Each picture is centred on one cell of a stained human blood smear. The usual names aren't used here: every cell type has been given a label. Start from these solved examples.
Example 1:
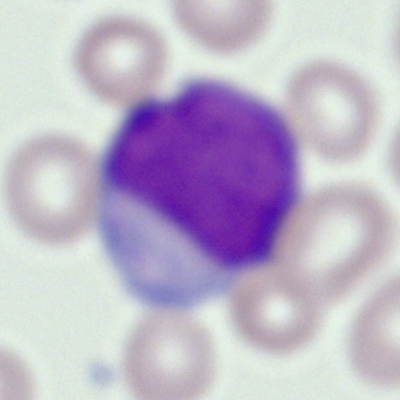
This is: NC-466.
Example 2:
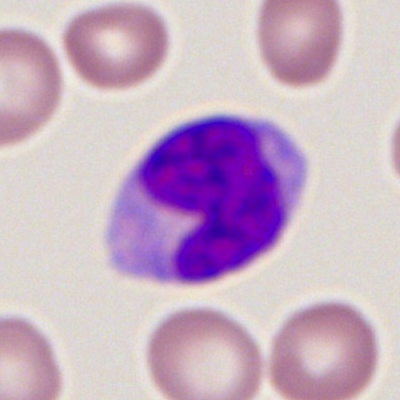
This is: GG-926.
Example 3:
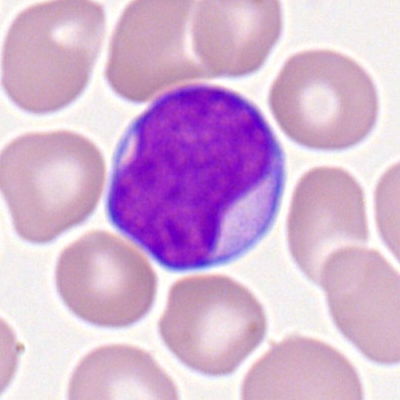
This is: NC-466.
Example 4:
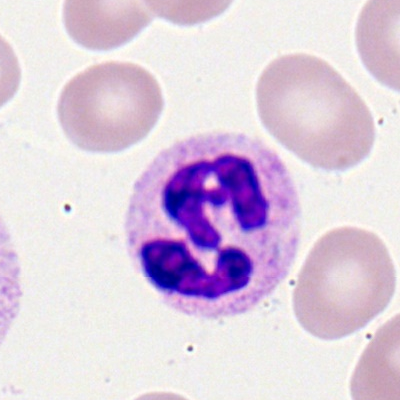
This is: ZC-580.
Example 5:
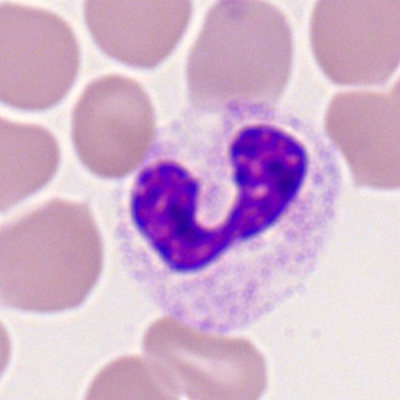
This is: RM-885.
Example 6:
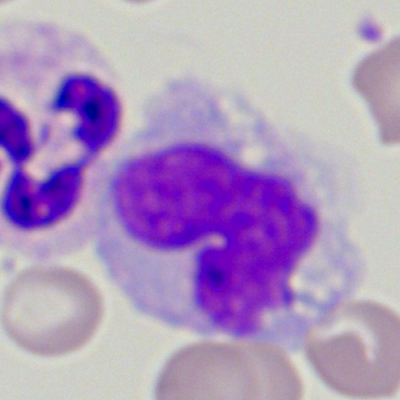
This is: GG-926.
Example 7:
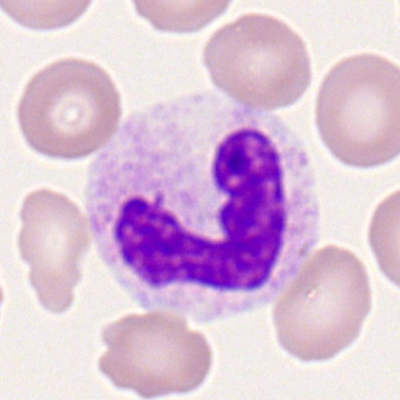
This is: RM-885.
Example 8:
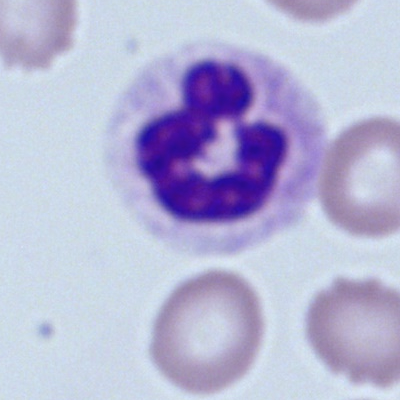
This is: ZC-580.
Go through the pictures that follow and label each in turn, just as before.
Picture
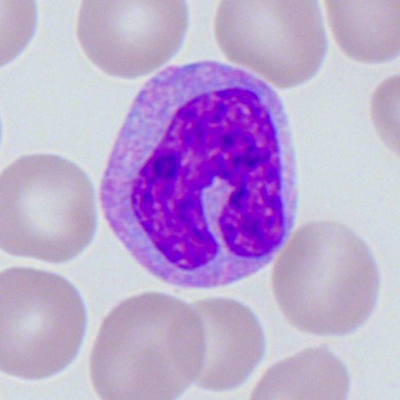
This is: GG-926.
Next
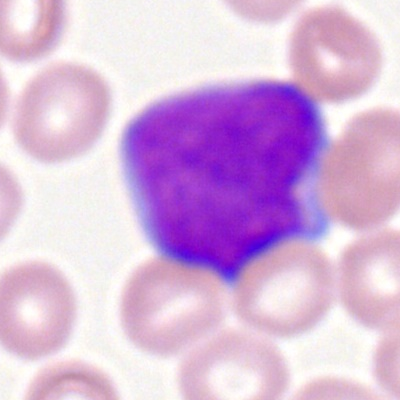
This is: NC-466.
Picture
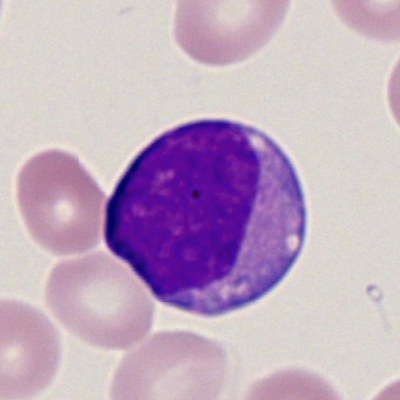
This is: NC-466.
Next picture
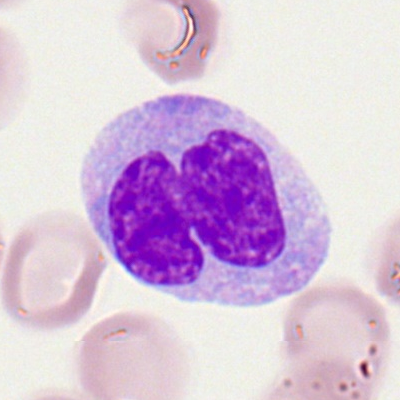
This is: GG-926.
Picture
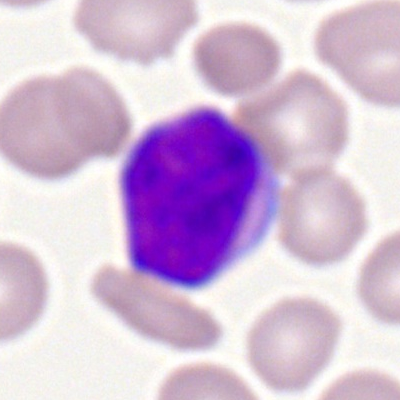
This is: NC-466.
